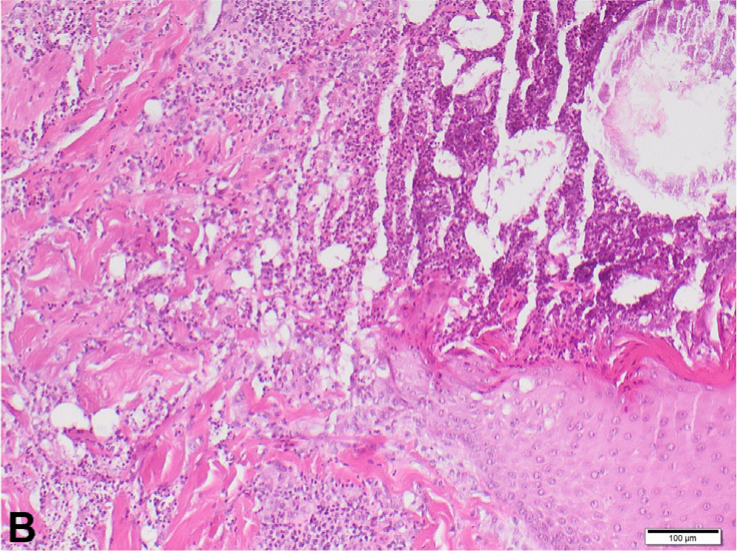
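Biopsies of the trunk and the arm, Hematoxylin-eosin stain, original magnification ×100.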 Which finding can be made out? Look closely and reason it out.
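Abscessing folliculitis. A dense sheet of small dark inflammatory cells fills a space bordered below by pale squamous follicular epithelium. Inflammatory cells spread into the adjacent dermal collagen on the left.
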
